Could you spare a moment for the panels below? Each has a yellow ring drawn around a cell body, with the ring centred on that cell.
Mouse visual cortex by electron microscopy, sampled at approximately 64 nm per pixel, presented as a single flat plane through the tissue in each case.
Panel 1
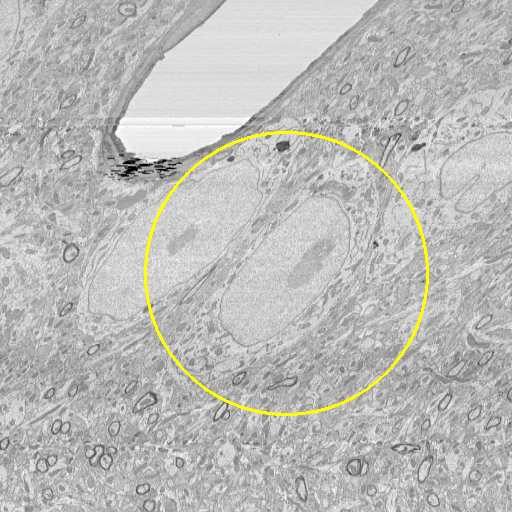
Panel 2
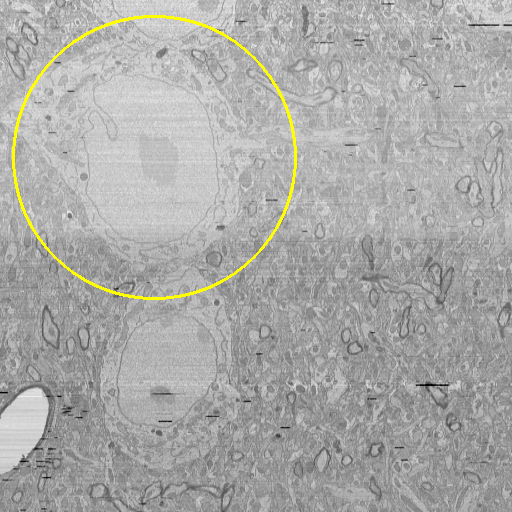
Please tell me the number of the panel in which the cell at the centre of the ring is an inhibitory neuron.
1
